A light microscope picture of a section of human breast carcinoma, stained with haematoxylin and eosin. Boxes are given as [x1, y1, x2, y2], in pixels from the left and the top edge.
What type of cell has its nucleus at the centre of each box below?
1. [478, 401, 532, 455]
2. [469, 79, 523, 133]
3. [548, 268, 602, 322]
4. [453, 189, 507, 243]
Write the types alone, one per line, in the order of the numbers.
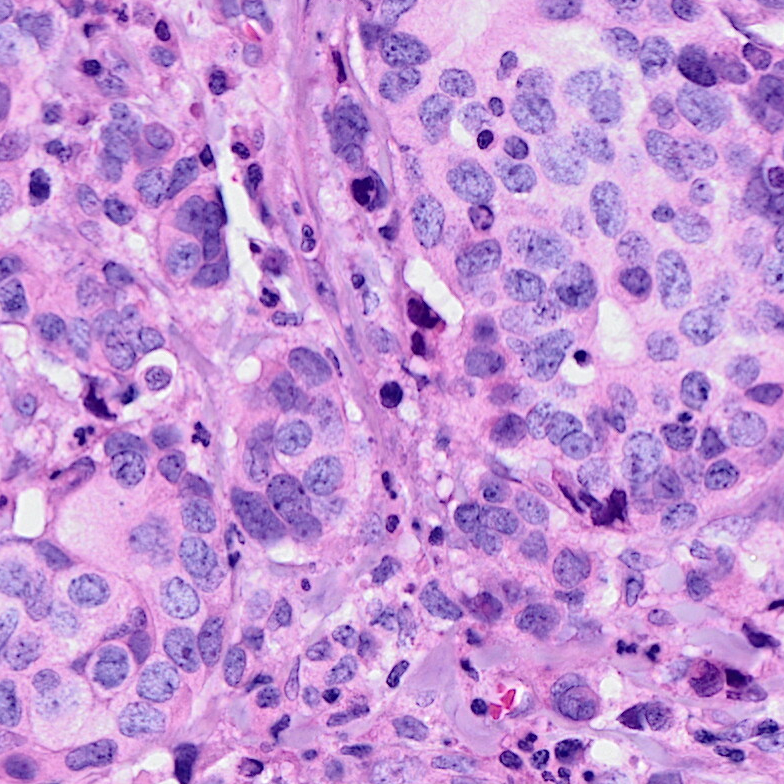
carcinoma cell
lymphocyte
carcinoma cell
carcinoma cell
